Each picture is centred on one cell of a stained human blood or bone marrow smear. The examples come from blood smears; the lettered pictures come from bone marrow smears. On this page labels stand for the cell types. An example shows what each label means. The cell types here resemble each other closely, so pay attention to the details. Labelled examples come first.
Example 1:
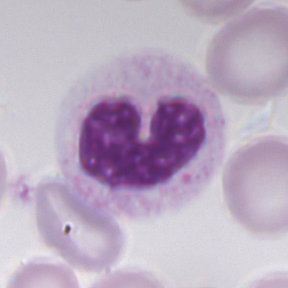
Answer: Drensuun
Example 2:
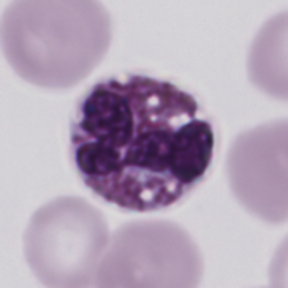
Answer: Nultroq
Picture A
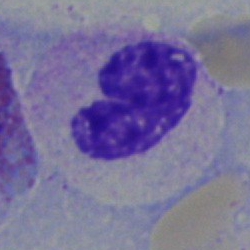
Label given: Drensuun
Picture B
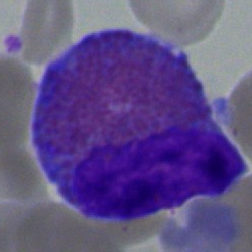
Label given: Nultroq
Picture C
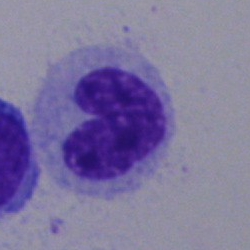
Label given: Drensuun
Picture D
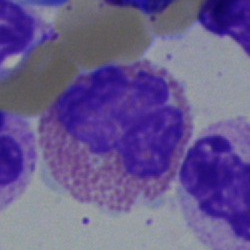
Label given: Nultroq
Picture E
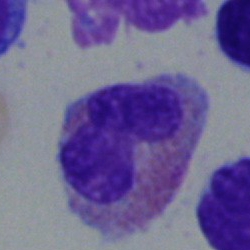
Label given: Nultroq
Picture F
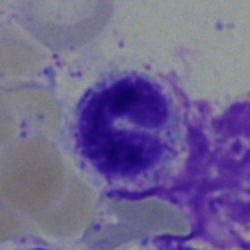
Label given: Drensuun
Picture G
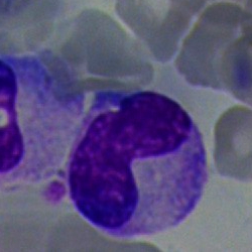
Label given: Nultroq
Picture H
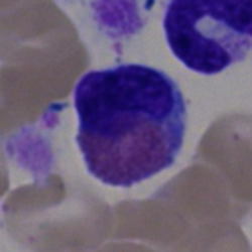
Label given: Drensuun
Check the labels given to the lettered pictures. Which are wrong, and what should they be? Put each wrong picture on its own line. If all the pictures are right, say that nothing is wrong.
G: change Nultroq to Drensuun
H: change Drensuun to Nultroq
